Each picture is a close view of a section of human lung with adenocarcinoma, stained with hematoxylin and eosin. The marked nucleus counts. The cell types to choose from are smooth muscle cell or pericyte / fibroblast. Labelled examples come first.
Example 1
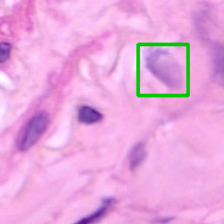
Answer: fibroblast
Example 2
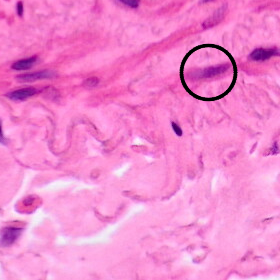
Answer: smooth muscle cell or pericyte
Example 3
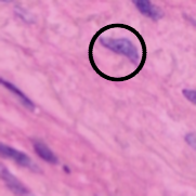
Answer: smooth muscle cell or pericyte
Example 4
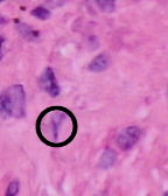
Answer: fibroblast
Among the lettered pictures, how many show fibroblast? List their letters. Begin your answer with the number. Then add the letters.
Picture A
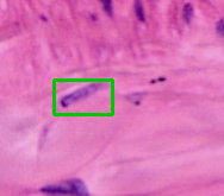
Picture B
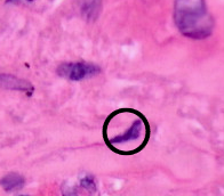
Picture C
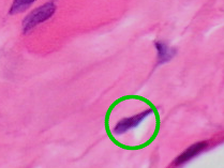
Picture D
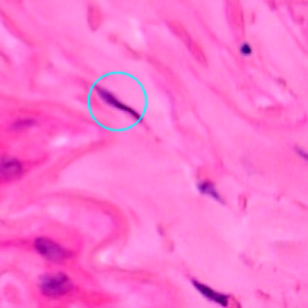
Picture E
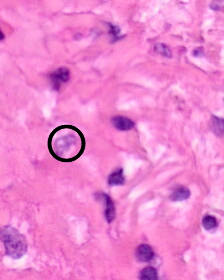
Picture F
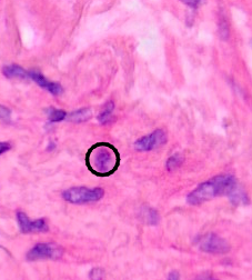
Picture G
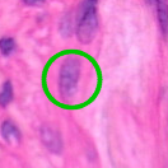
5: A, B, C, D, E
